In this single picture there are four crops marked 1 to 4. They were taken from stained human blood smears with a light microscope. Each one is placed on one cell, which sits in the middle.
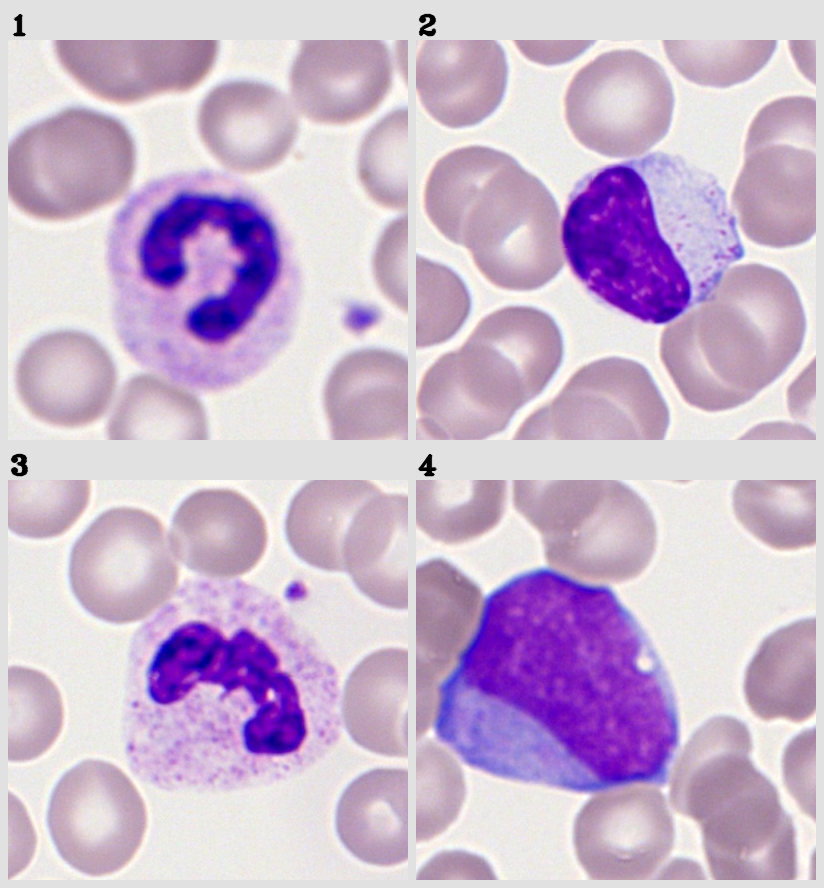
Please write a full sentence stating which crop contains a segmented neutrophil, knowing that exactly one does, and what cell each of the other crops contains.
In the case of crop 3, the cell is a segmented neutrophil, while crop 1 is a band neutrophil, crop 2 is a lymphocyte and crop 4 is a myeloblast.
